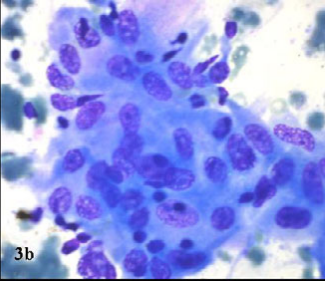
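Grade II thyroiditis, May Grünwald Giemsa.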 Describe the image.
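The cells share a pale blue cytoplasm with indistinct cell borders, giving a syncytial look. Small dark spindle-shaped and round nuclei lie at the edges of the cluster.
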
